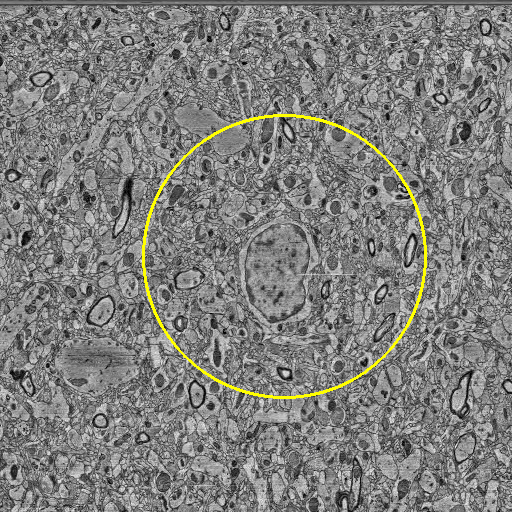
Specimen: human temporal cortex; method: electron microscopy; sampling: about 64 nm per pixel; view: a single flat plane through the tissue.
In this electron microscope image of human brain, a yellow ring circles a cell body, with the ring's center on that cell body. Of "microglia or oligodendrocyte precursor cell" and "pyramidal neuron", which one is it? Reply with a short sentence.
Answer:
It is a microglial cell or oligodendrocyte precursor cell at the center of the ring.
